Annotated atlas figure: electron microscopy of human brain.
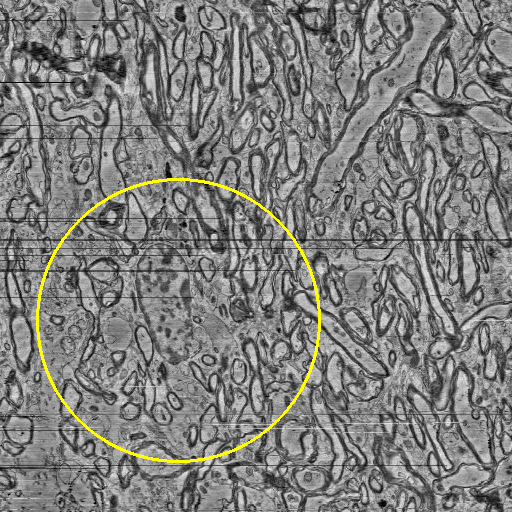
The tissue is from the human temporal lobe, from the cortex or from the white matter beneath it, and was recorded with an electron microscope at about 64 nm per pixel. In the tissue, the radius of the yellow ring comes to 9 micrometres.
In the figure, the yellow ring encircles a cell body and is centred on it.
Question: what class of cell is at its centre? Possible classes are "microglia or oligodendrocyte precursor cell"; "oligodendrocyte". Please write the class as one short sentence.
The yellow ring is drawn around a microglial cell or oligodendrocyte precursor cell.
